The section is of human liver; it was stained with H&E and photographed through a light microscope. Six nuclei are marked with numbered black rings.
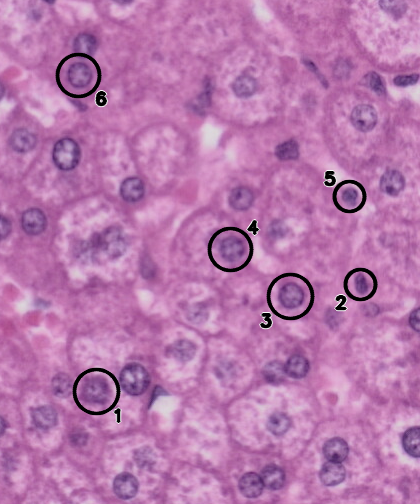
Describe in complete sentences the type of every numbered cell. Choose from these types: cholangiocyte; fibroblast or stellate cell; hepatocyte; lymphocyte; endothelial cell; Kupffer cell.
Cell 1 is a hepatocyte, cell 2 is a lymphocyte, cell 3 is a hepatocyte, cell 4 is a hepatocyte, cell 5 is a lymphocyte and cell 6 is a hepatocyte.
